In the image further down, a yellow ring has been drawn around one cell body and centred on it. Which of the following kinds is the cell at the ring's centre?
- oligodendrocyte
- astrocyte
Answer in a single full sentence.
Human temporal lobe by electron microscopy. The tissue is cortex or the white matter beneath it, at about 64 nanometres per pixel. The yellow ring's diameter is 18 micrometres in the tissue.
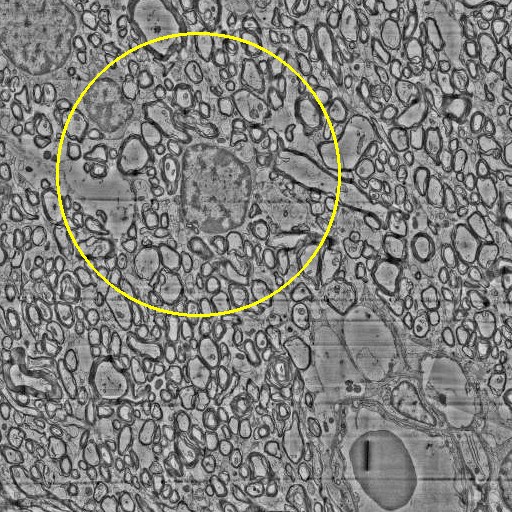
In the picture, the cell sitting at the centre of the yellow ring is an oligodendrocyte.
